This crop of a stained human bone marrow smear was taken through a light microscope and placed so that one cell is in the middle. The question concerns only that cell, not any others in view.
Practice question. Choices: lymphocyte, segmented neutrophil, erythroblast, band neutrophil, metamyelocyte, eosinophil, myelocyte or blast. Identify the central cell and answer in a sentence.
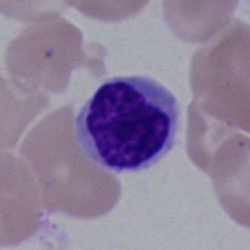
The middle of this crop holds a lymphocyte.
